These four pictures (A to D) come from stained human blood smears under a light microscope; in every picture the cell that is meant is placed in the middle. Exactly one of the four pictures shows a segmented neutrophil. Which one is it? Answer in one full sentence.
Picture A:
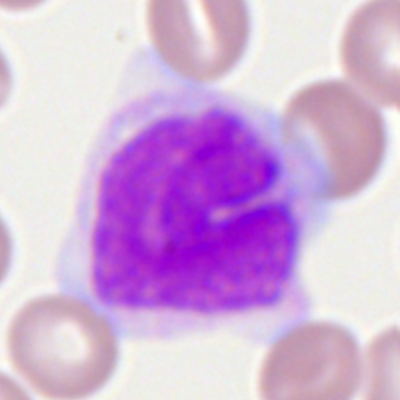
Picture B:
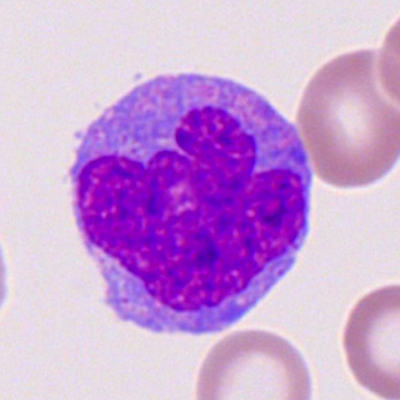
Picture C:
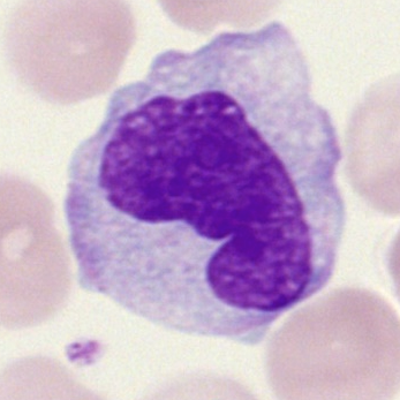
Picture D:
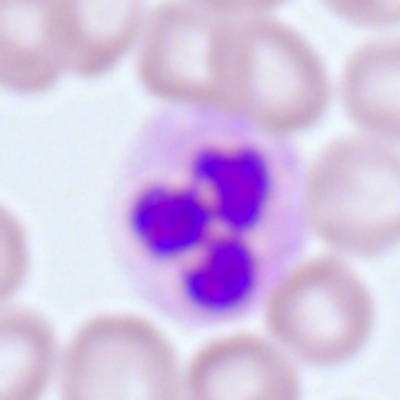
Picture D is the one that shows the segmented neutrophil.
